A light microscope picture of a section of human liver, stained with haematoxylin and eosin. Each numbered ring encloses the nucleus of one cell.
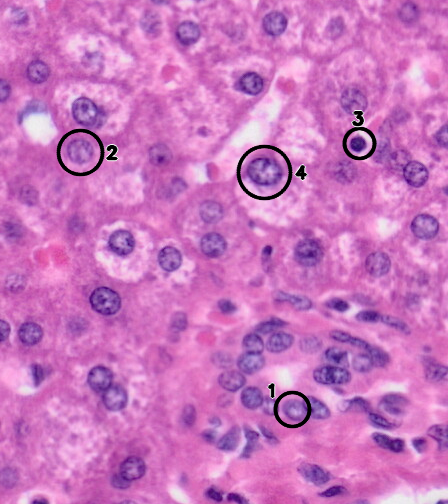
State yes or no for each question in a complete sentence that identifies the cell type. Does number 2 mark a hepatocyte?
Yes, the numbered nucleus 2 is that of a hepatocyte.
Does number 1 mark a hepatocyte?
No, cell 1 is not a hepatocyte. It is a cholangiocyte.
